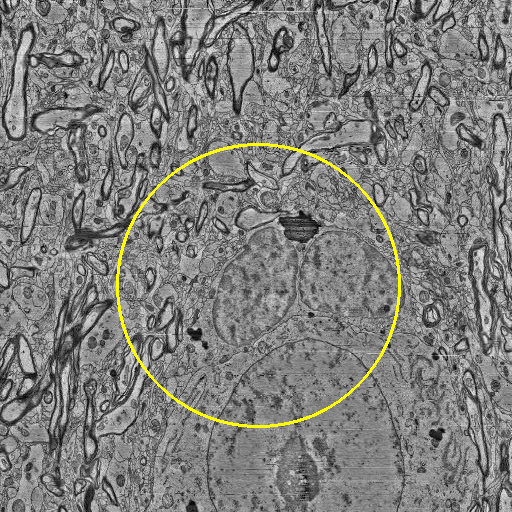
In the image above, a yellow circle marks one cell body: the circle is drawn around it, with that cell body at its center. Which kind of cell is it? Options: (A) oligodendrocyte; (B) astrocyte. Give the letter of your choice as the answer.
A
